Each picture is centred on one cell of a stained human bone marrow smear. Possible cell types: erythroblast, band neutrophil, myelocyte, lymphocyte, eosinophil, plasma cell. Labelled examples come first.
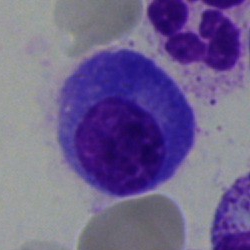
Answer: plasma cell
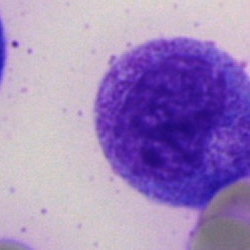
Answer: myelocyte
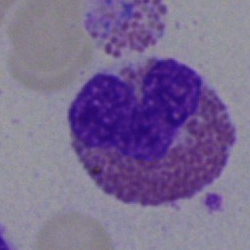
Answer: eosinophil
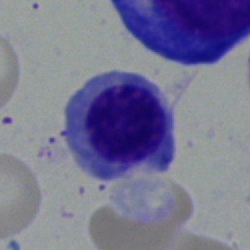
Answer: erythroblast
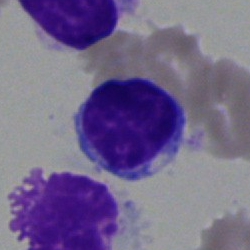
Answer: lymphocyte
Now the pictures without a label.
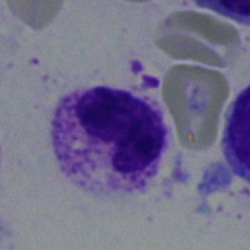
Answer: band neutrophil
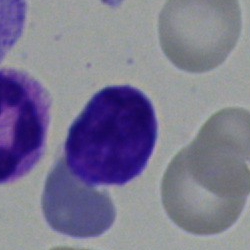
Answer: lymphocyte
